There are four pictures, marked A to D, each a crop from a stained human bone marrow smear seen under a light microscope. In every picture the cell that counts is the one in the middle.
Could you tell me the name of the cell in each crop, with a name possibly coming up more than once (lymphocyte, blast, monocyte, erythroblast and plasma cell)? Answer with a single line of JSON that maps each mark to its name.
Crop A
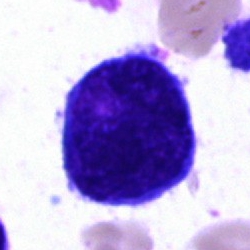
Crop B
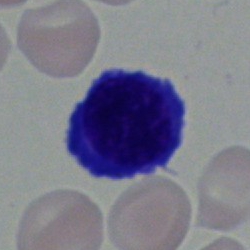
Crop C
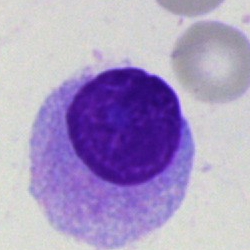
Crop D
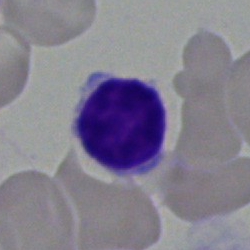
{"A": "blast", "B": "erythroblast", "C": "plasma cell", "D": "lymphocyte"}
